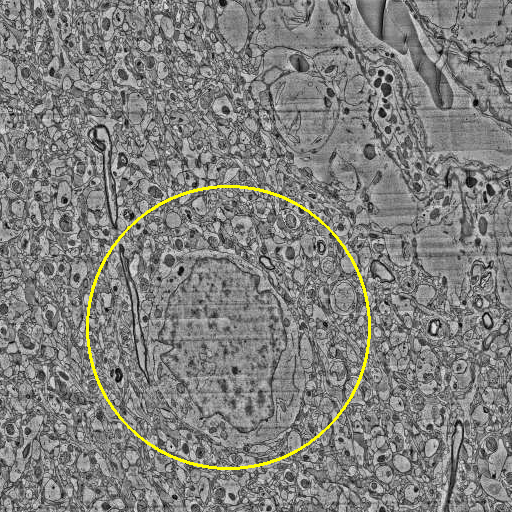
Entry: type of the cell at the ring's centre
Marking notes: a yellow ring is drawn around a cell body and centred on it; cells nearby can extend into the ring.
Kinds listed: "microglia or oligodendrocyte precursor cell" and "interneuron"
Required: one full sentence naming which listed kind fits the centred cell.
My entry names an interneuron as the cell whose body the yellow ring centres on.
